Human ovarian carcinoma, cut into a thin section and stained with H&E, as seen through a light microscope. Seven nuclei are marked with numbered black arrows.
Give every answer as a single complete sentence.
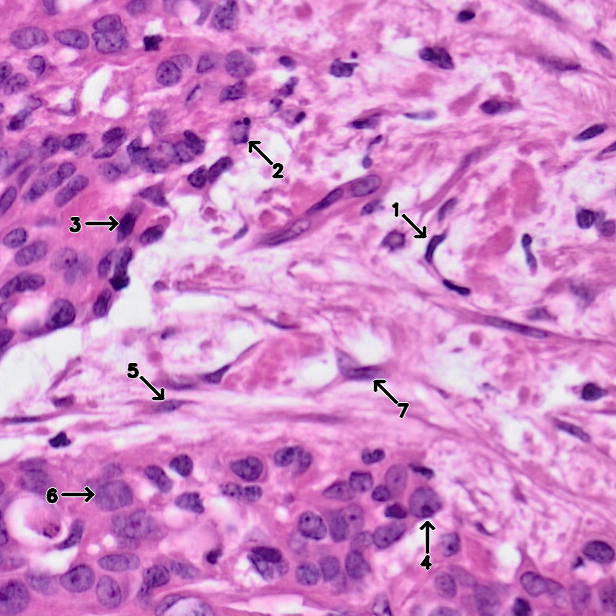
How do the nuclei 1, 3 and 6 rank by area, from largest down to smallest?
The nuclei rank 6, 3, 1, from largest to smallest.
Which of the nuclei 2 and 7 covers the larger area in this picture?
Of the two, number 7 is bigger and takes up about 2 times the area of number 2.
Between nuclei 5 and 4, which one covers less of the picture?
It is nucleus 5; nucleus 4 has about 3 times its area.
